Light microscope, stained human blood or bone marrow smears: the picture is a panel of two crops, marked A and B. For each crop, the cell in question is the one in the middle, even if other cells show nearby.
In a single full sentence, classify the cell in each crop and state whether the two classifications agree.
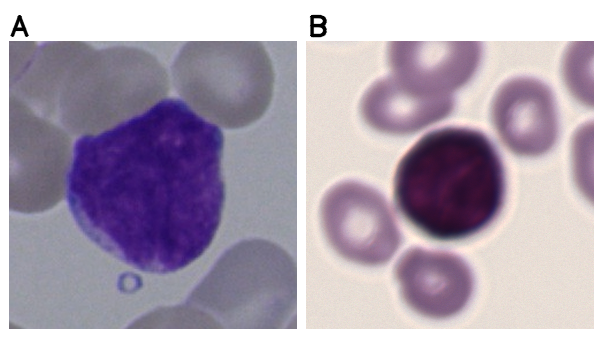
Yes, the two cells in the two crops are blasts.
